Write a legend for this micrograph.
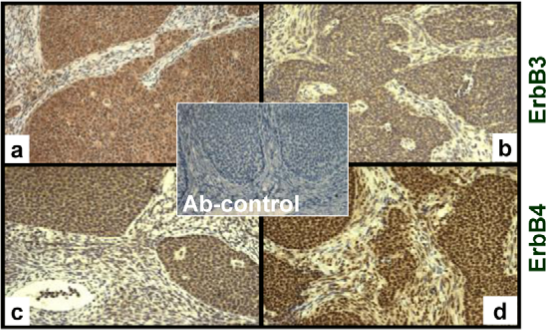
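This is tumor tissue made of large, rounded nests and sheets of closely packed tumor cells separated by paler bands of fibrous stroma. The tumor cells are small and uniform with dense nuclei, and their nests take up brown stain of varying intensity, strongest in one of the four fields. The stromal bands contain elongated spindle-shaped cells and are largely unstained, with a small vessel visible in one field.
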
